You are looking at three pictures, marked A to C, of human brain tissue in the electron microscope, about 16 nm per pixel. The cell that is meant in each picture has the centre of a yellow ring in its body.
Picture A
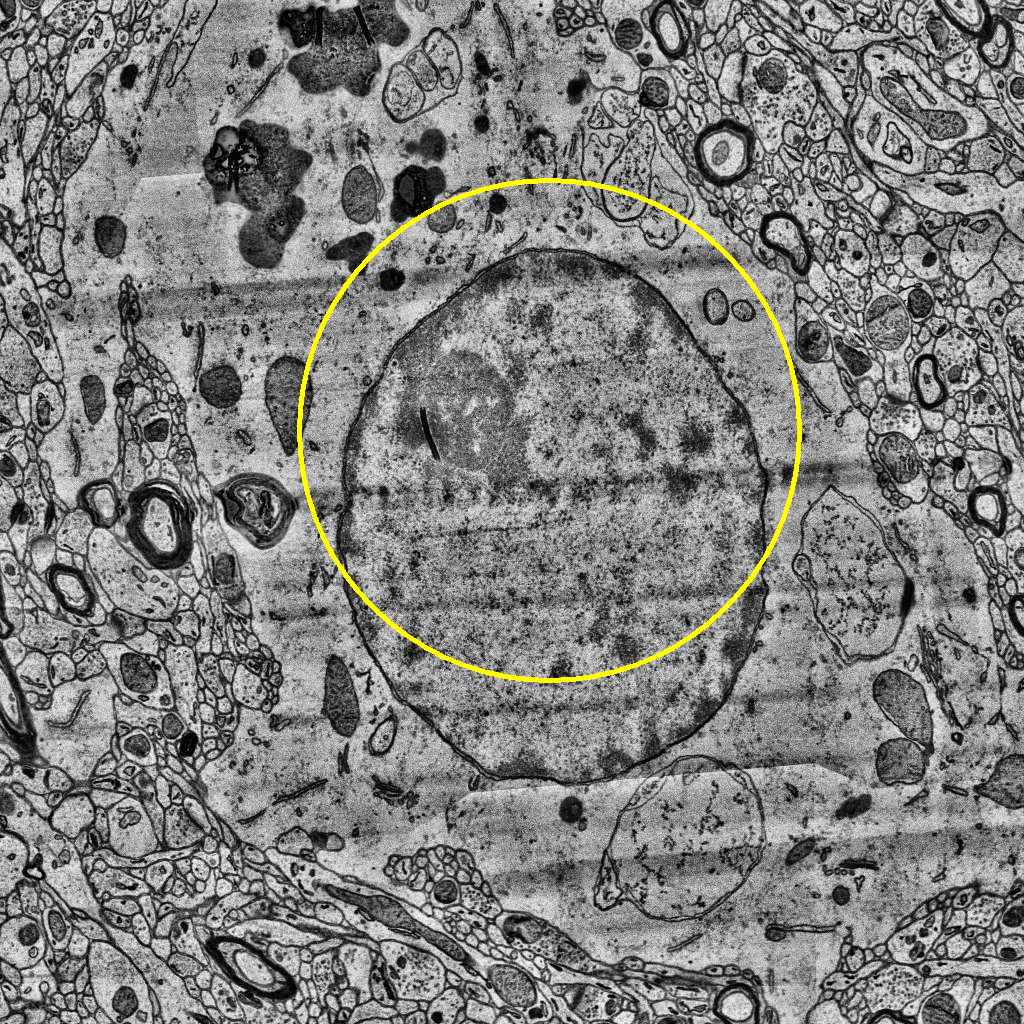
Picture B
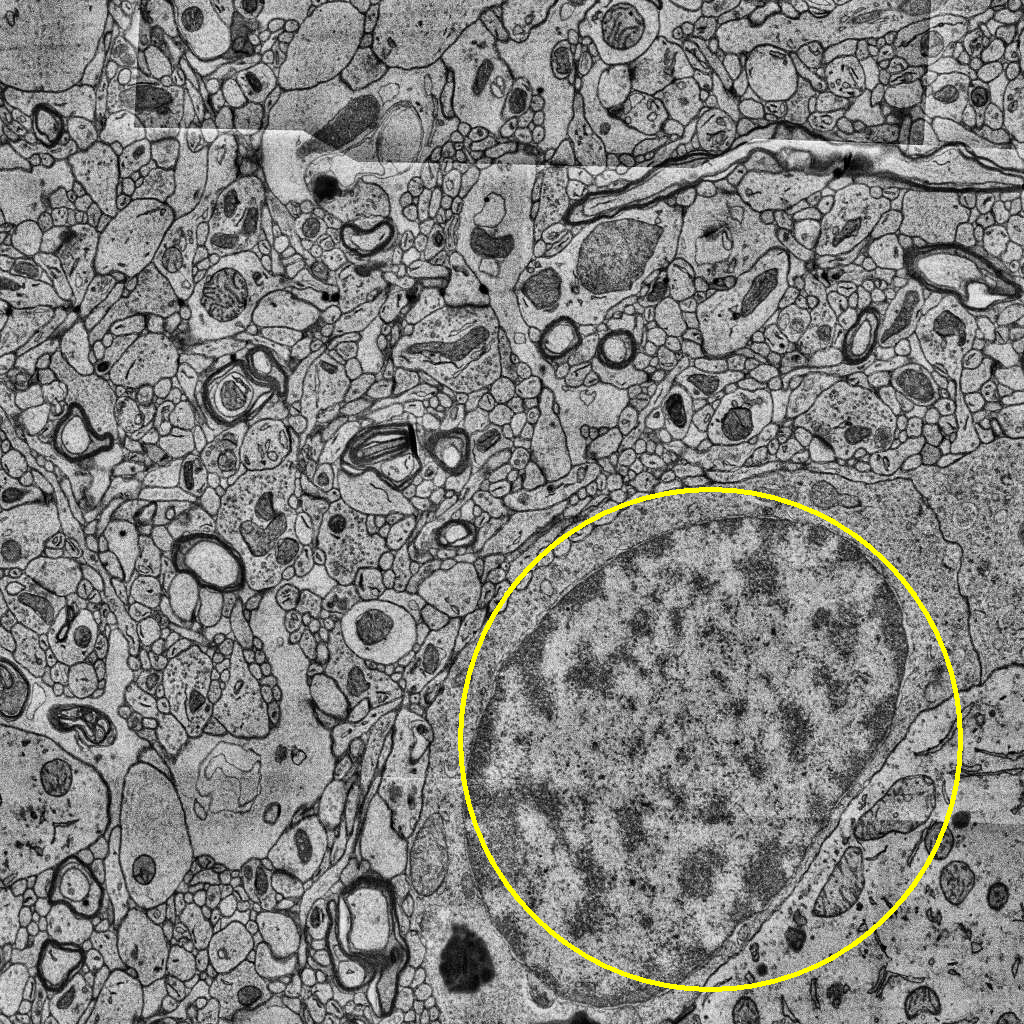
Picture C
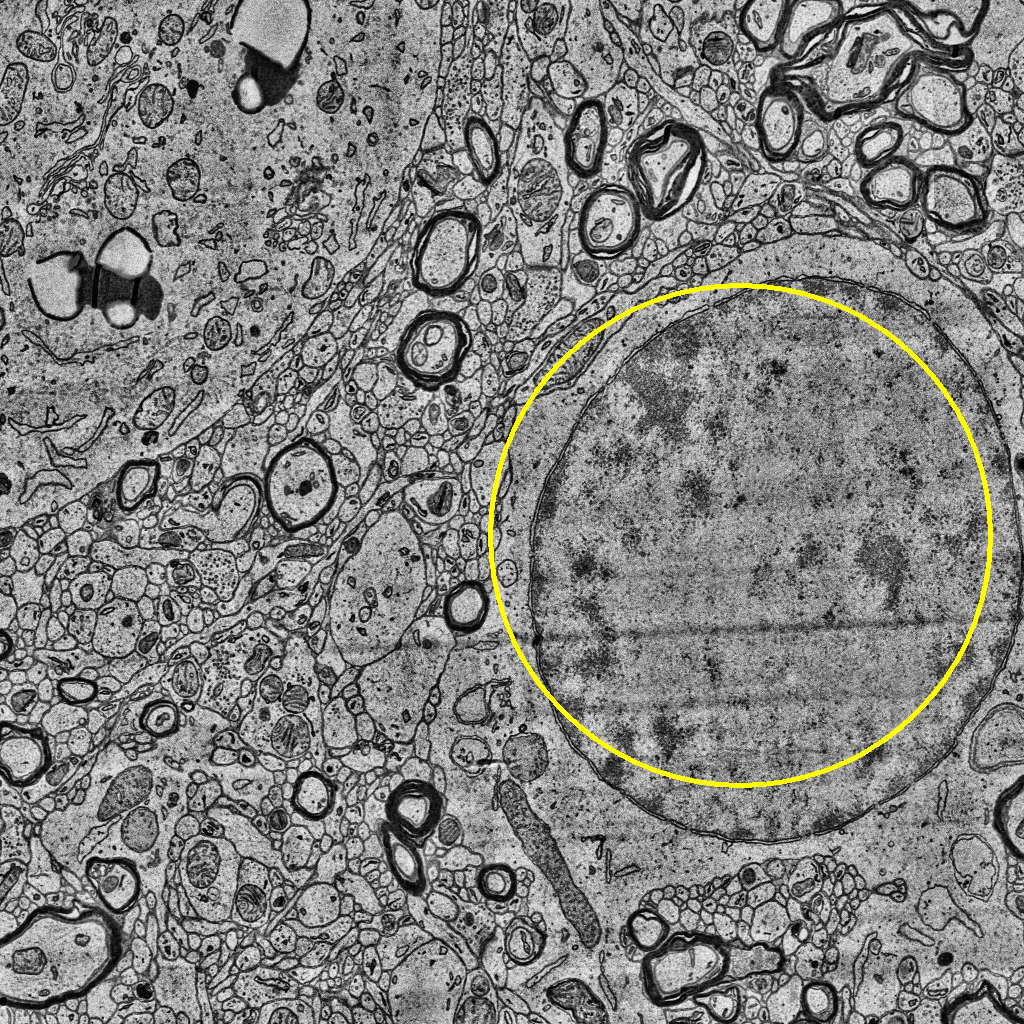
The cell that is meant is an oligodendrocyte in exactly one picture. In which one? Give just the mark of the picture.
B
